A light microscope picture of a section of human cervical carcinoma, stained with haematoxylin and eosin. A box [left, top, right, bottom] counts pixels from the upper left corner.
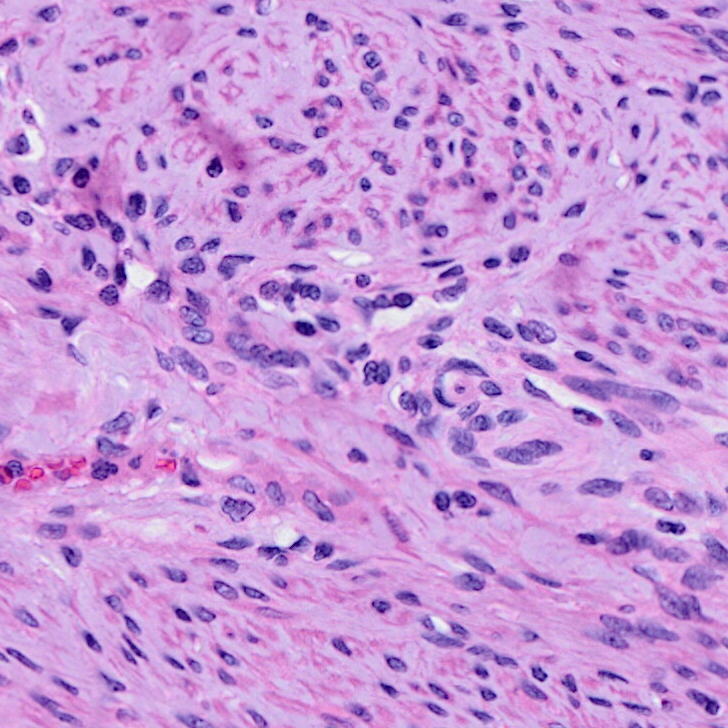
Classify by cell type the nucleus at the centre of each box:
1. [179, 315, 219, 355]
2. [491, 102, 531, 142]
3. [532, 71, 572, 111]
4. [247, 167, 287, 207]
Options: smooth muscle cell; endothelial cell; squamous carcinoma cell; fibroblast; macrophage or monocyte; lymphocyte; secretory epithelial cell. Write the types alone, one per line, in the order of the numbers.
endothelial cell
smooth muscle cell
smooth muscle cell
smooth muscle cell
